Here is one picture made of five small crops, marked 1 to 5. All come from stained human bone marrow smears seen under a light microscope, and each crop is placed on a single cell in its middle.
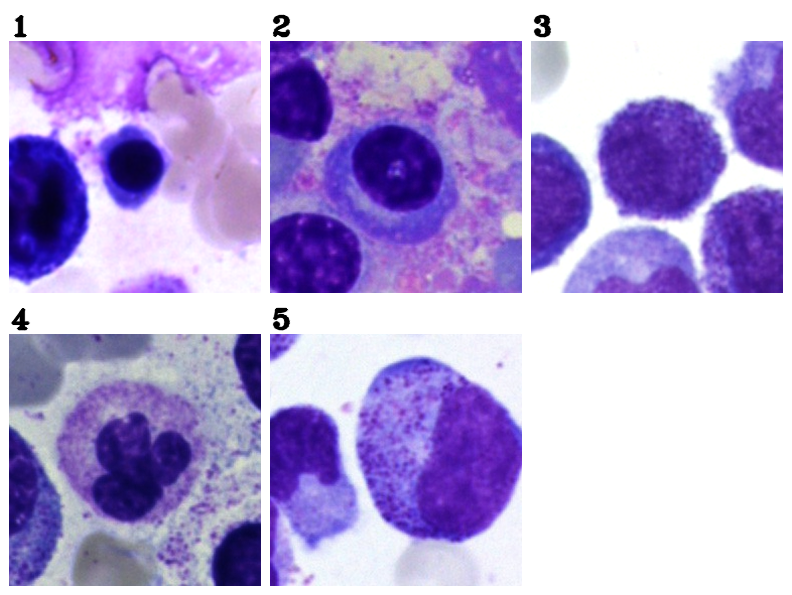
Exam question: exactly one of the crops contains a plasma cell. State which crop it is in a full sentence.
It is crop 2, not any other, that shows a plasma cell.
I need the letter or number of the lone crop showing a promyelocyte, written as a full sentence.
Crop 5 is the crop that shows a promyelocyte in its middle.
